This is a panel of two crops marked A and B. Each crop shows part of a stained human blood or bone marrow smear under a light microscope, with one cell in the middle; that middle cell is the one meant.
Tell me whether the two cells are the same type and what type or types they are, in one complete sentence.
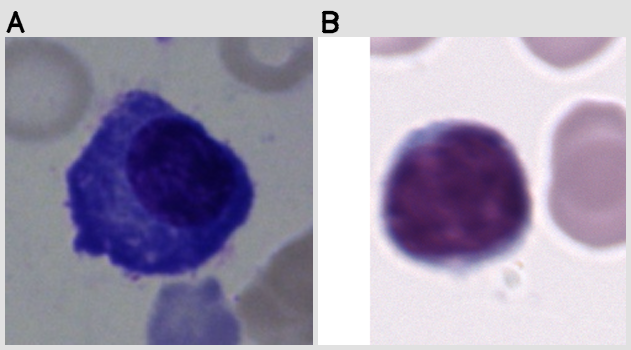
No, crop A contains a plasma cell, while crop B contains a lymphocyte.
